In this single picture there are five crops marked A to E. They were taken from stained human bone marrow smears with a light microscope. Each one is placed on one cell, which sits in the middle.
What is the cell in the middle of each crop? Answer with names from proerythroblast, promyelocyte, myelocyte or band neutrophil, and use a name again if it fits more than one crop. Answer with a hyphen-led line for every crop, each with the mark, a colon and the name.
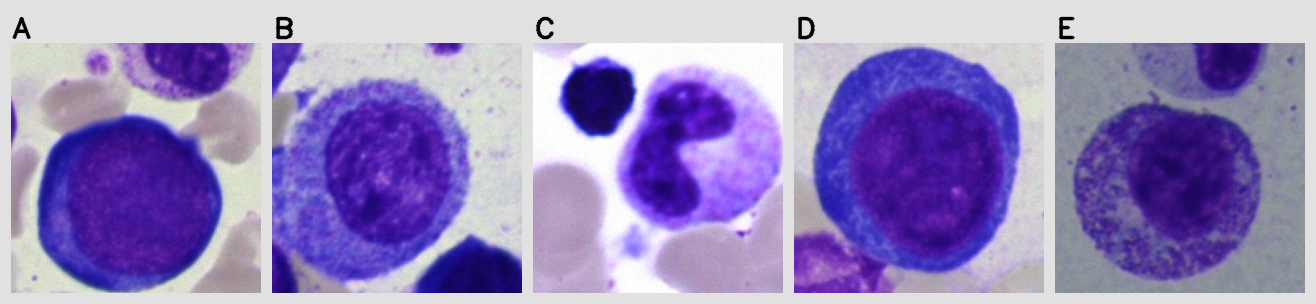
- A: proerythroblast
- B: promyelocyte
- C: band neutrophil
- D: proerythroblast
- E: myelocyte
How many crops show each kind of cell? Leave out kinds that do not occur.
proerythroblast: 2
promyelocyte: 1
band neutrophil: 1
myelocyte: 1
